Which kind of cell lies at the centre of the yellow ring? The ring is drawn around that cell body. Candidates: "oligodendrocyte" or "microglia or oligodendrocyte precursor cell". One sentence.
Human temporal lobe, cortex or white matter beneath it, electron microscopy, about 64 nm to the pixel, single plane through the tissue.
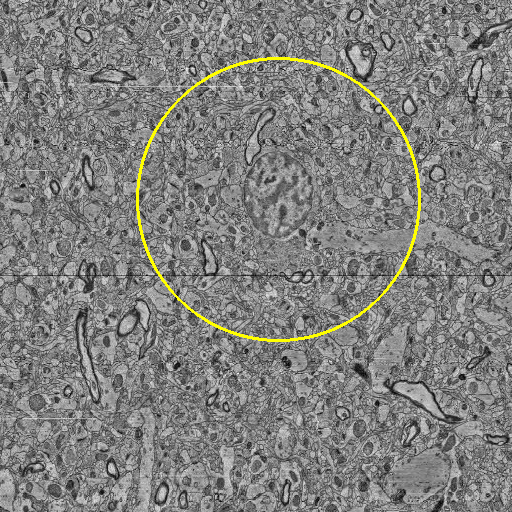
Lying at the centre of the ring is an oligodendrocyte.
